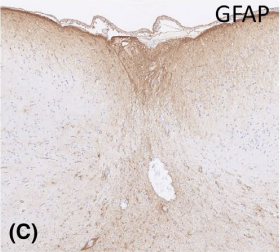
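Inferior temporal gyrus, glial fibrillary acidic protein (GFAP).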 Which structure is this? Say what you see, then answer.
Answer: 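The cortical surface dips inward at the middle of the panel. A dense brown-stained zone runs down from the surface at the dip.
Hence: scar.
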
